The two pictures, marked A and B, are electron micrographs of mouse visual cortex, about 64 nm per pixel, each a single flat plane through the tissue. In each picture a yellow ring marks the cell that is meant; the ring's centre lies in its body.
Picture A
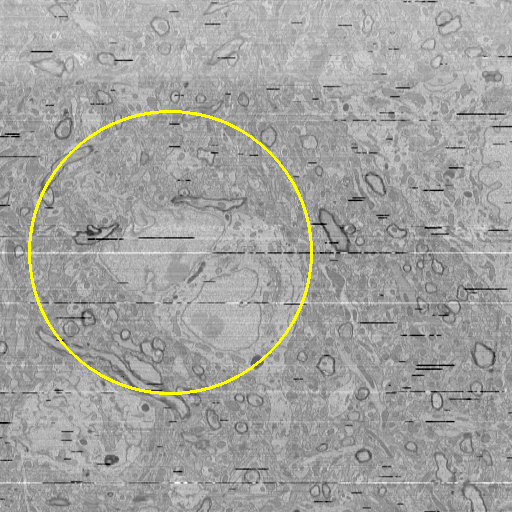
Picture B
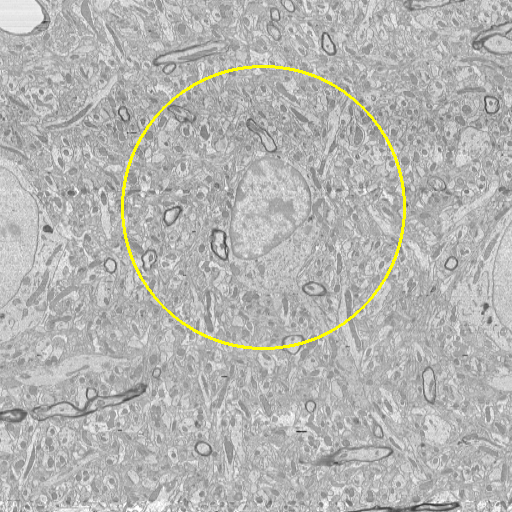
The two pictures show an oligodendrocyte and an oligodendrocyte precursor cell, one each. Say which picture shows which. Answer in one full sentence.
Picture A shows an oligodendrocyte precursor cell and picture B shows an oligodendrocyte.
